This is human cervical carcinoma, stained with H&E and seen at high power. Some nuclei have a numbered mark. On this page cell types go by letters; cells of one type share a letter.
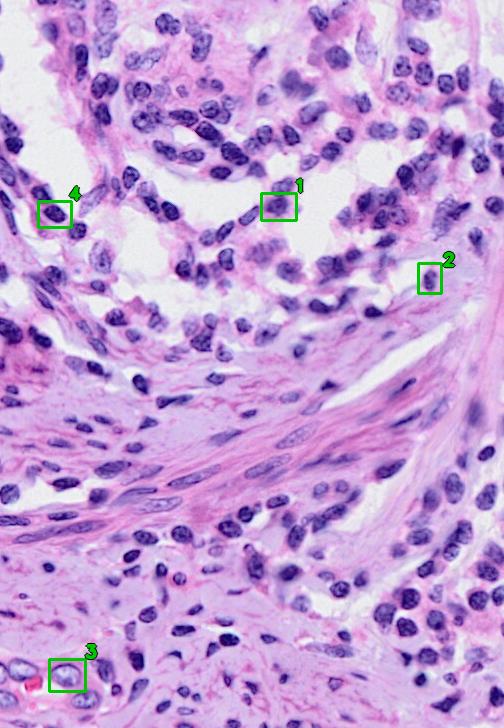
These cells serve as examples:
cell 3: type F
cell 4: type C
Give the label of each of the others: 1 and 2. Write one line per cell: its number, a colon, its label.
1: type C
2: type C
